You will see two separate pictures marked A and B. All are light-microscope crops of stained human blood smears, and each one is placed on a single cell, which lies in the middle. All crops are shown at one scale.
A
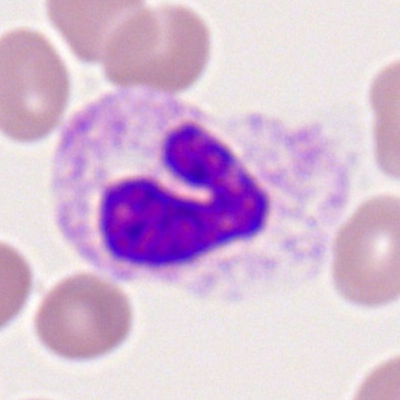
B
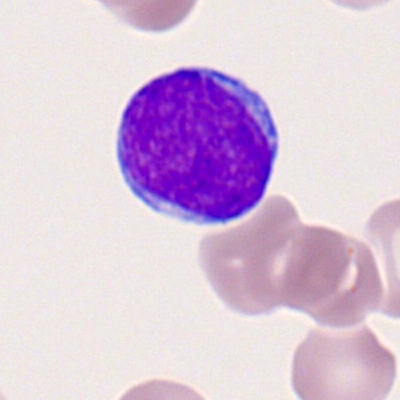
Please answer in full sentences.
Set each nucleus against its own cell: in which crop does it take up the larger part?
Of the two, the nucleus in crop B makes up the greater part of its cell.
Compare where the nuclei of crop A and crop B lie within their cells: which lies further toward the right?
It is the nucleus in crop A that lies further toward the right of its cell.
